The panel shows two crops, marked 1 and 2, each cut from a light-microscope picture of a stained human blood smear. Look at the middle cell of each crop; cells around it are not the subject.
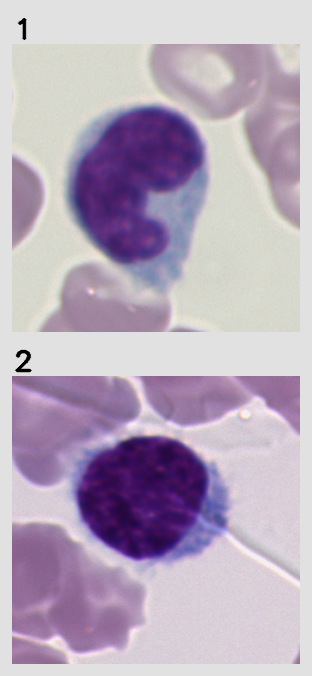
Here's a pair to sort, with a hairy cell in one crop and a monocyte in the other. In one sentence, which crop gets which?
Crop 1 here is a monocyte, and crop 2 is a hairy cell.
